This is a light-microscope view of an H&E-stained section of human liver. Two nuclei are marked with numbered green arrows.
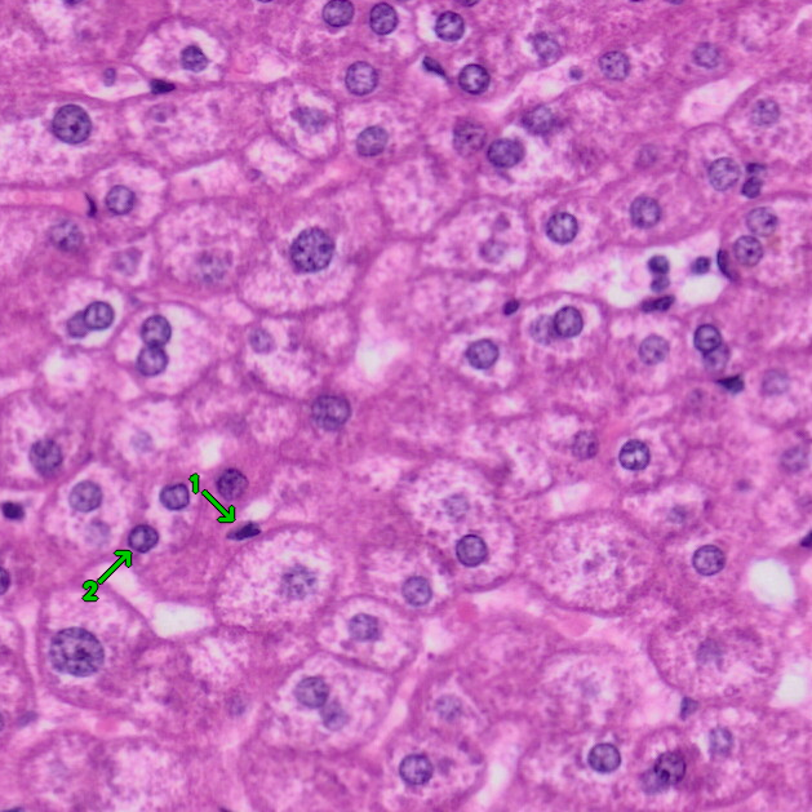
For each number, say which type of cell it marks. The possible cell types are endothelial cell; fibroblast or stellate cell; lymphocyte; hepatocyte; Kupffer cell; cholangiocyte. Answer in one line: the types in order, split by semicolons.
endothelial cell; hepatocyte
